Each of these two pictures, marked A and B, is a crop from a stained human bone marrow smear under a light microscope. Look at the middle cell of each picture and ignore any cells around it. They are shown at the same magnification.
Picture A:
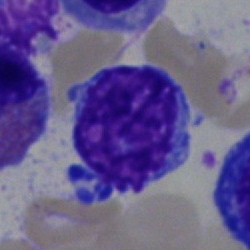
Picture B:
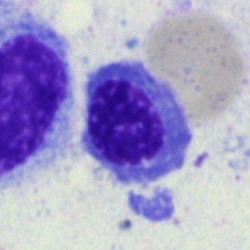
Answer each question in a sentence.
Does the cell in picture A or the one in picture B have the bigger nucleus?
Larger is the nucleus in picture A, at roughly 2 times the area of the other.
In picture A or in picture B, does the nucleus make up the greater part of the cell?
It is the cell in picture A that is filled more by its nucleus.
